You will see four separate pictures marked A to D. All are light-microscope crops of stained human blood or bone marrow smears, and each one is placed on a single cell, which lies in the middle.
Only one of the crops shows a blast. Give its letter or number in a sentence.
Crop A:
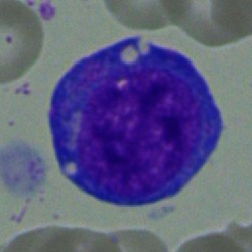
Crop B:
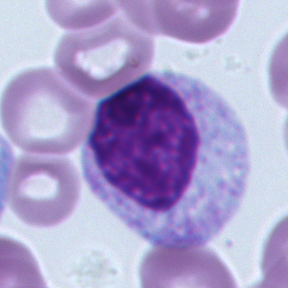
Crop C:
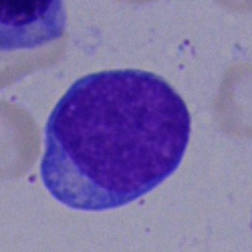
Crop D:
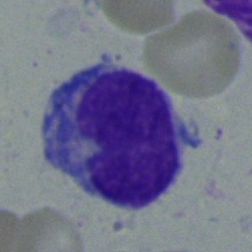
Of the crops shown, crop C depicts a blast.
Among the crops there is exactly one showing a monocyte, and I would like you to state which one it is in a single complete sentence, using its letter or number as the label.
Among the crops, only crop D contains a monocyte.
